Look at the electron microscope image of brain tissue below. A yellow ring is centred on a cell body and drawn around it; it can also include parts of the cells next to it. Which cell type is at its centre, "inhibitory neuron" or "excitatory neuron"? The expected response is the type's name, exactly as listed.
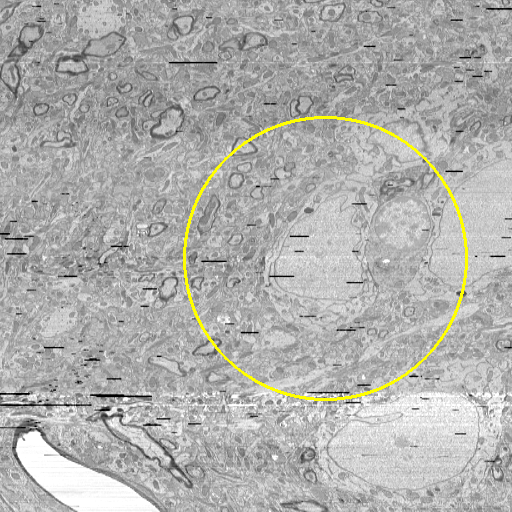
inhibitory neuron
